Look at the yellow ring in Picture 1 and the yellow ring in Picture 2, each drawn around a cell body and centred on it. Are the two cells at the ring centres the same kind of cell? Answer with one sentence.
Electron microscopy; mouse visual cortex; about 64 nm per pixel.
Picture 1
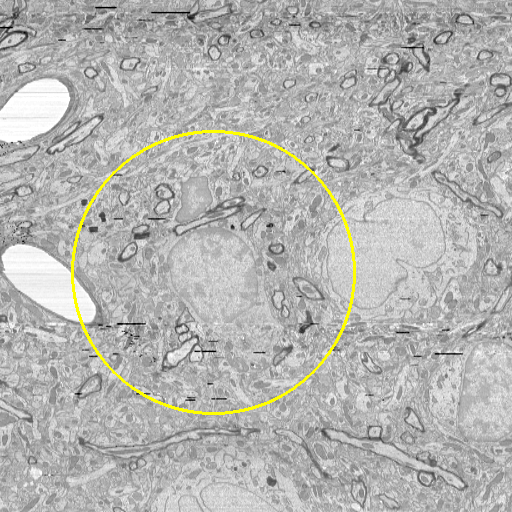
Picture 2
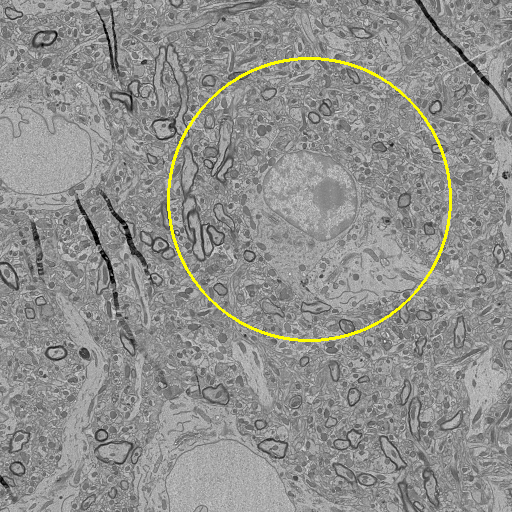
Yes, both are the same kind of cell.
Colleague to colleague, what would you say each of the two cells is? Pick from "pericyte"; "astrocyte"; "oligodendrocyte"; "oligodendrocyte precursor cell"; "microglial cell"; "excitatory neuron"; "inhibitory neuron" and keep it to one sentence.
The first and the second cell are each an oligodendrocyte.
